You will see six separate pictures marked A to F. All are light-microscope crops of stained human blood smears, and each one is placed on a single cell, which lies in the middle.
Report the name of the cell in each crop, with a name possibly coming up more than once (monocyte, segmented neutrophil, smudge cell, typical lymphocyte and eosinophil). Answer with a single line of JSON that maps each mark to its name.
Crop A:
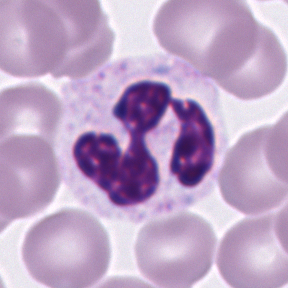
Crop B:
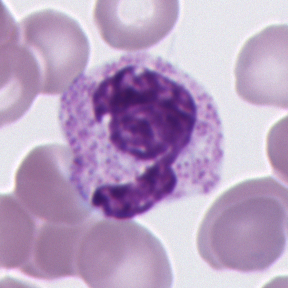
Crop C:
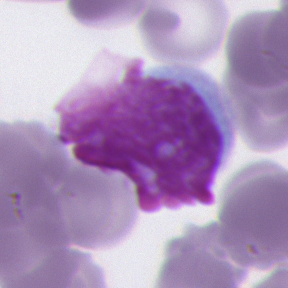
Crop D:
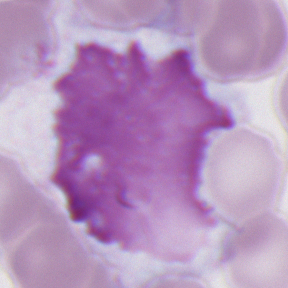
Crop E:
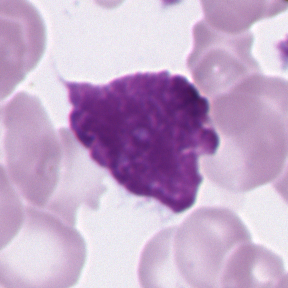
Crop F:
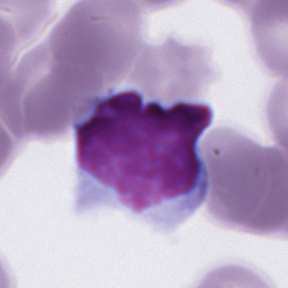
{"A": "segmented neutrophil", "B": "segmented neutrophil", "C": "typical lymphocyte", "D": "smudge cell", "E": "smudge cell", "F": "typical lymphocyte"}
